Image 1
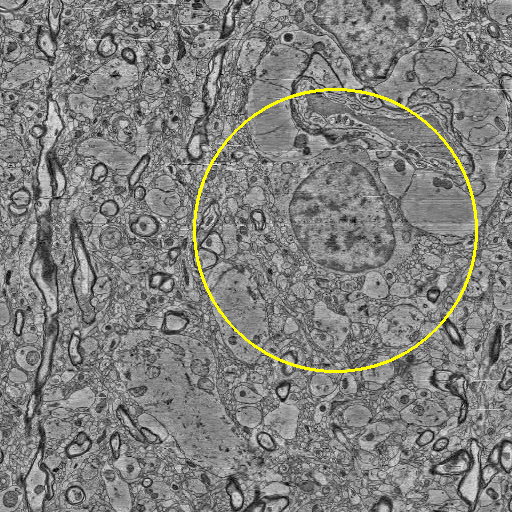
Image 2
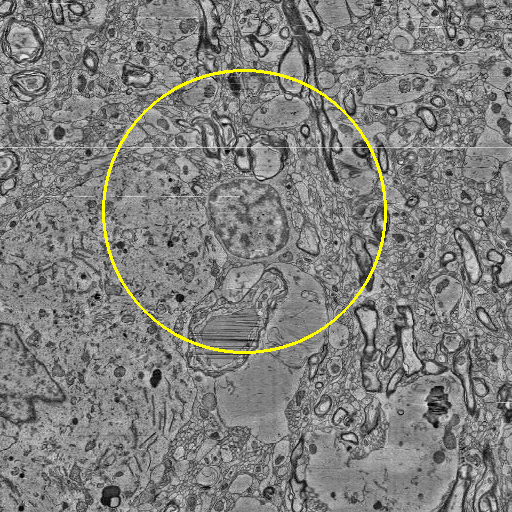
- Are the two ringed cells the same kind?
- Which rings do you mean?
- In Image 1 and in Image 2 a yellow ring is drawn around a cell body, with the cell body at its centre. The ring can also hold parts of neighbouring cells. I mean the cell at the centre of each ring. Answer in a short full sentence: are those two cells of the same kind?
Yes, both cells are of the same kind.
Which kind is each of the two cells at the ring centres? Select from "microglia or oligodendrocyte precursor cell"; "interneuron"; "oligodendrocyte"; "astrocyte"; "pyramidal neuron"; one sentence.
In the first picture and in the second, the ring is centred on an oligodendrocyte.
